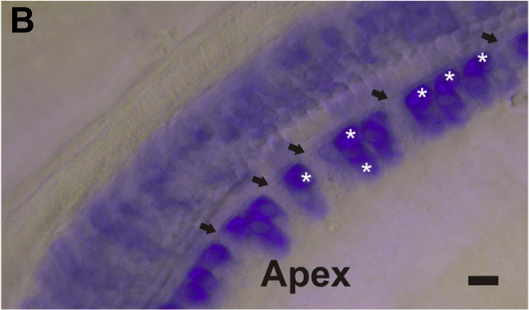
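The hair cells are rounded and stained an intense violet-purple throughout, standing out against the paler, diffusely lilac tissue beside them. In places the row widens so that two or three cells lie side by side, forming small clusters rather than a single file. A faint striated band of unstained tissue runs parallel to the row along the upper left.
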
